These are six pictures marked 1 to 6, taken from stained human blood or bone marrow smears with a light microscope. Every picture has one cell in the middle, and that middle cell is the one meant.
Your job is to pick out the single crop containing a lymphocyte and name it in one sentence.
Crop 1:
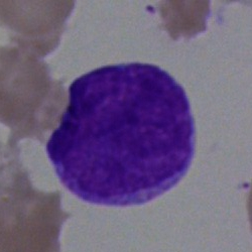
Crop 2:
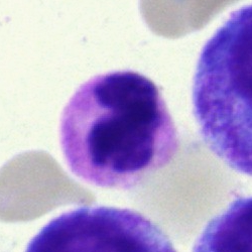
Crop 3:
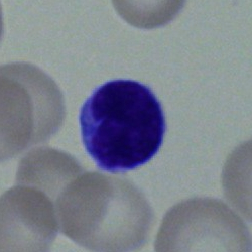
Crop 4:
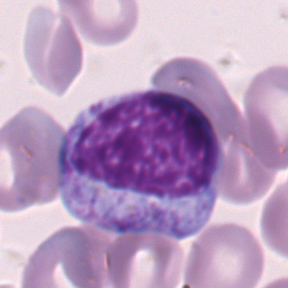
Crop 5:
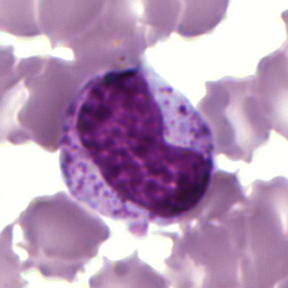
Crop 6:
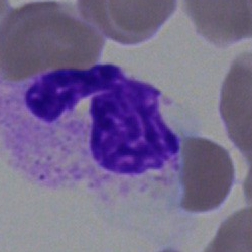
Look at crop 3; that is the one with a lymphocyte in its center.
